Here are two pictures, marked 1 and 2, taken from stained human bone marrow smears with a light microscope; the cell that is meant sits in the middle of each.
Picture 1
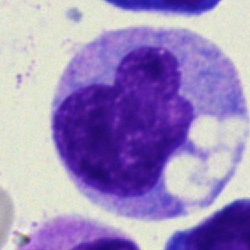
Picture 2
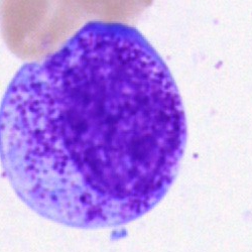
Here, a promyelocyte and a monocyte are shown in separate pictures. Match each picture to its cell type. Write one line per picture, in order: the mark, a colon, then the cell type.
1: monocyte
2: promyelocyte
